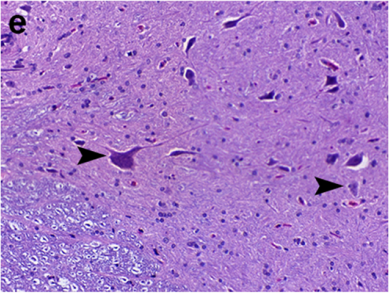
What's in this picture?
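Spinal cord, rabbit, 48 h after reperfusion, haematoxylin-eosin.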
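In pink fibrillar grey matter lie fewer large cell bodies, several of them deeply and evenly dark purple and set in pale clear spaces. Many small dark nuclei are scattered between them. The darkened, shrunken large cells are motor neurons of the ventral horn that look necrotic or dead.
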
